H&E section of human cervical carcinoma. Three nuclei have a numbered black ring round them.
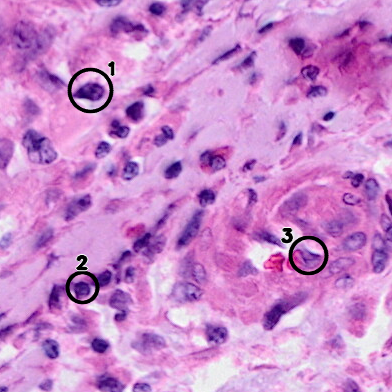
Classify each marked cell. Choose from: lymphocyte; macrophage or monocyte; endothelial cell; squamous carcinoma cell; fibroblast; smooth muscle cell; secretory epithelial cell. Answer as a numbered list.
1. lymphocyte
2. lymphocyte
3. endothelial cell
